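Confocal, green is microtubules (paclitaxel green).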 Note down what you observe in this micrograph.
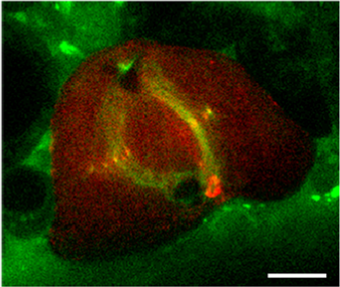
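Small bright red-yellow dots sit along these green bundles, where red and green overlap. A compact, intensely red ring lies at the lower edge of the cell, and neighbouring cells appear as dim green shapes around it.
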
